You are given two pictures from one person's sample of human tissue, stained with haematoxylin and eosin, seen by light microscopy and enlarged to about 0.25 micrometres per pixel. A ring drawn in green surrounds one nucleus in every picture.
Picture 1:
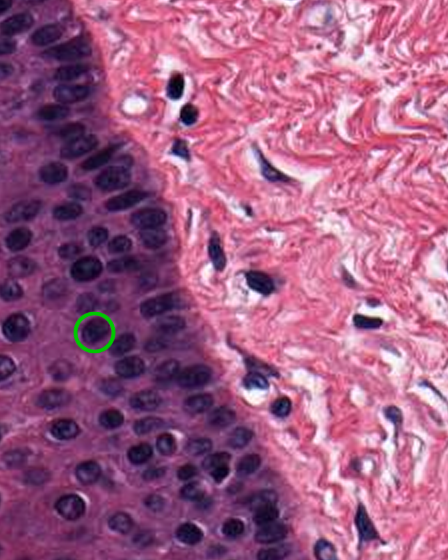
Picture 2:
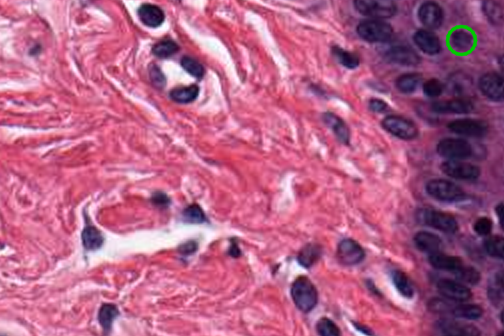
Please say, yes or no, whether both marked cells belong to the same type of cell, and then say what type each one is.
Yes, both are squamous epithelial cells.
